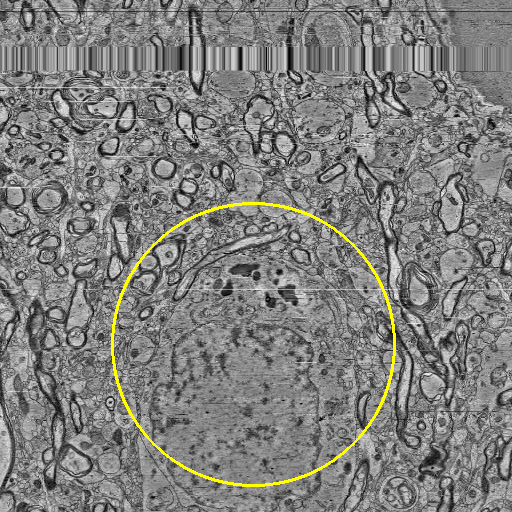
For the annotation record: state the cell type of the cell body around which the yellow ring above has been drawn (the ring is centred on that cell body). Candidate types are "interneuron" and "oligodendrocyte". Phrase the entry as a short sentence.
The ringed cell is an interneuron.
